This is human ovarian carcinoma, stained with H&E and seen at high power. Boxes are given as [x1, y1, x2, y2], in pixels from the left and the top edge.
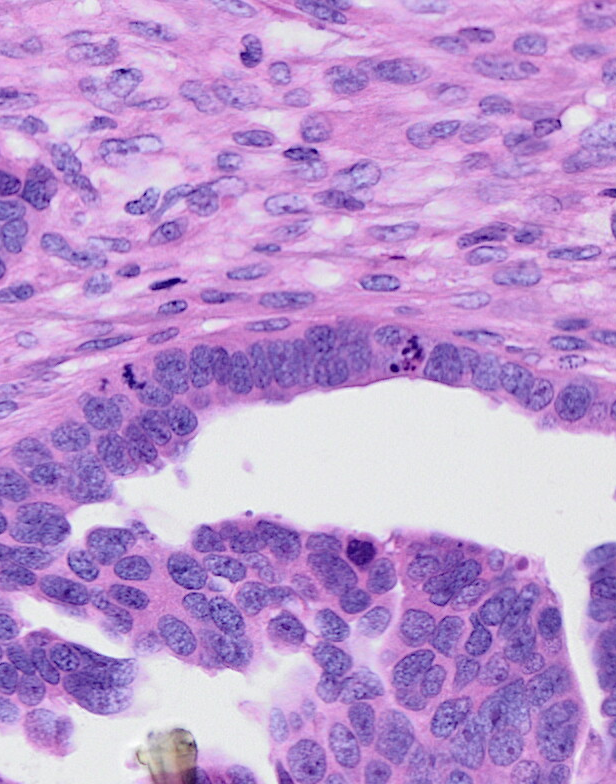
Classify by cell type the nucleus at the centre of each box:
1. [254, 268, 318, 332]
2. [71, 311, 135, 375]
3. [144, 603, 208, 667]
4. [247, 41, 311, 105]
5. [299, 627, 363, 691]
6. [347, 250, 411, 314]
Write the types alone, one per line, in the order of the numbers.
fibroblast
fibroblast
carcinoma cell
fibroblast
carcinoma cell
fibroblast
